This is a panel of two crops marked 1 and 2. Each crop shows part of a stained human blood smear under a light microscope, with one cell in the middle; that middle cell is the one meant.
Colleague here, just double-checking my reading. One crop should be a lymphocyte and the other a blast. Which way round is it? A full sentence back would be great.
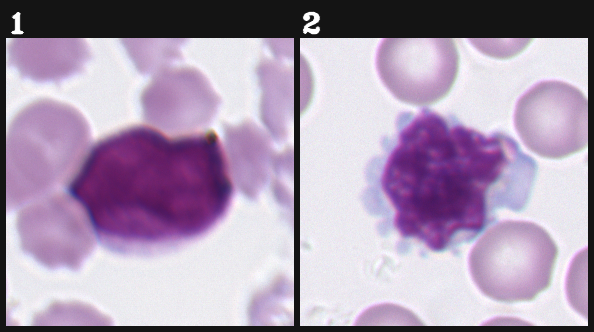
The cell in crop 1 is a blast, whereas the cell in crop 2 is a lymphocyte.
